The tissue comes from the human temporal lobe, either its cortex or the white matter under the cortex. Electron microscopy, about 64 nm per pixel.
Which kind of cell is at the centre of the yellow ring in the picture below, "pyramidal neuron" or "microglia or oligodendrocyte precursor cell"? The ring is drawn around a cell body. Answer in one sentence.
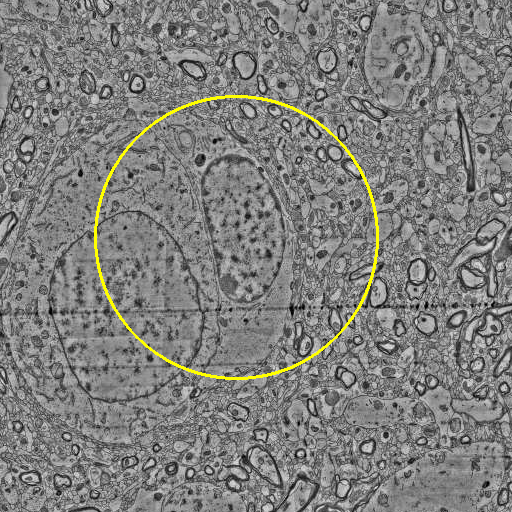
The ring's central cell is a microglial cell or oligodendrocyte precursor cell.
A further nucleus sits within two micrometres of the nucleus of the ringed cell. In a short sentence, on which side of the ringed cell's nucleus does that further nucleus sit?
That other nucleus appears to the lower left of it.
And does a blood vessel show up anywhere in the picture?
No, no vessel shows anywhere in the image.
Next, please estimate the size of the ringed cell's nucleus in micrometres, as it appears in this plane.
About 9 by 5 micrometres; in this plane the nucleus is clearly longer than it is wide.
